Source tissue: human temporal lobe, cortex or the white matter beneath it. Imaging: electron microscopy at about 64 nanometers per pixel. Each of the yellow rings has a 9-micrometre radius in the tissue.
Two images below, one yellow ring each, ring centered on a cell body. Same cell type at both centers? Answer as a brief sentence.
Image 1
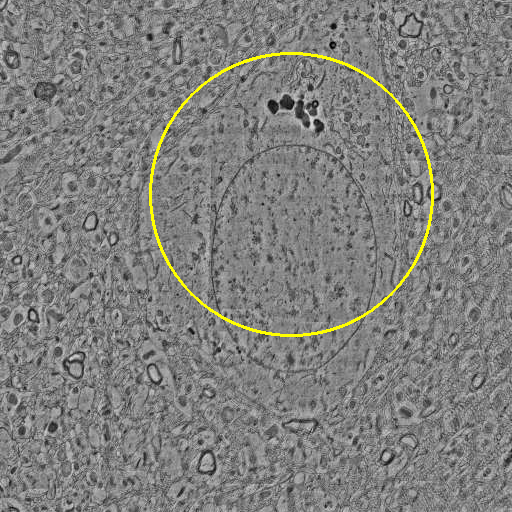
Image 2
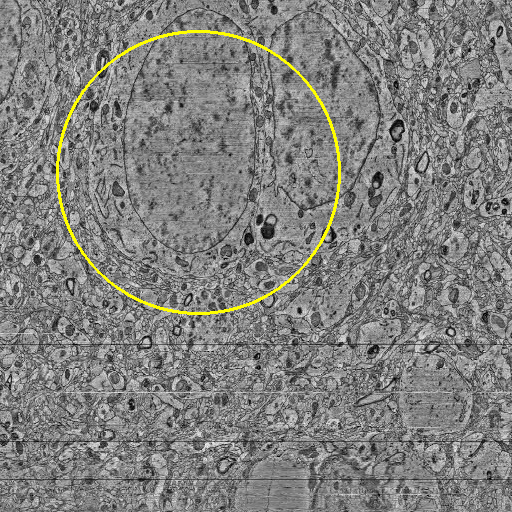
Yes, both cells are of the same type.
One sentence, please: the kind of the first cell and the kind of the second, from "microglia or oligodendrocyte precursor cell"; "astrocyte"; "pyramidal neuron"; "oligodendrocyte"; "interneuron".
The cell at the ring centre is a pyramidal neuron in both pictures.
